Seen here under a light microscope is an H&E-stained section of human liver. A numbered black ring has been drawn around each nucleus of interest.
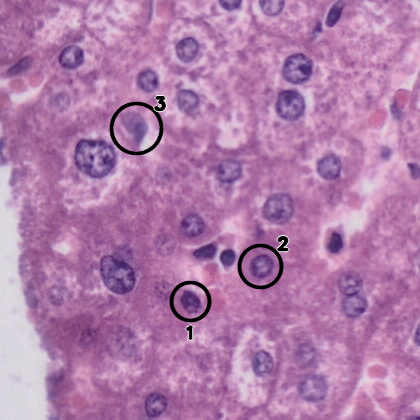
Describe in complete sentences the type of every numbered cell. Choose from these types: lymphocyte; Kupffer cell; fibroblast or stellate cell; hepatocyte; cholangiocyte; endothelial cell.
Cell 1 is a fibroblast or stellate cell. Cell 2 is a hepatocyte. Cell 3 is an endothelial cell.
